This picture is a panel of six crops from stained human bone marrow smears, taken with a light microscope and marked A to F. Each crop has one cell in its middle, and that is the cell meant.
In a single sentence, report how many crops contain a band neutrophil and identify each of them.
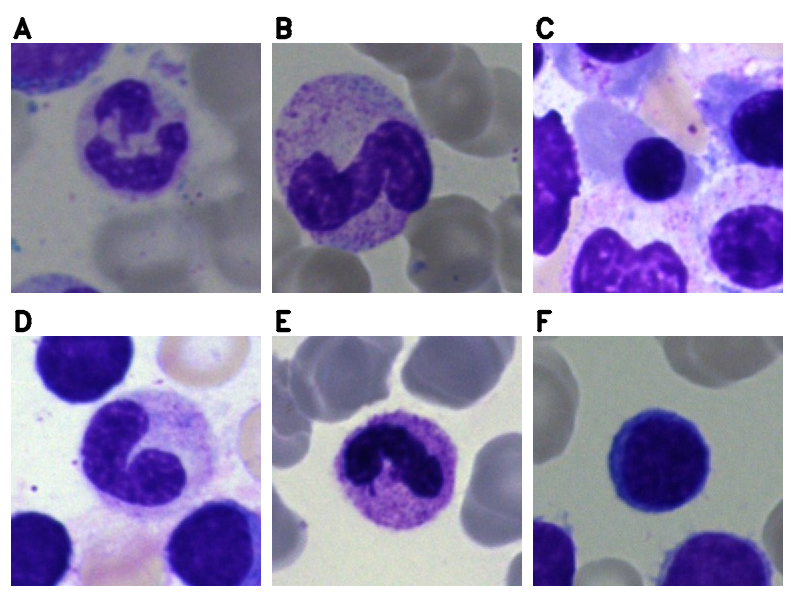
In short, three crops contain band neutrophils: B, D and E.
